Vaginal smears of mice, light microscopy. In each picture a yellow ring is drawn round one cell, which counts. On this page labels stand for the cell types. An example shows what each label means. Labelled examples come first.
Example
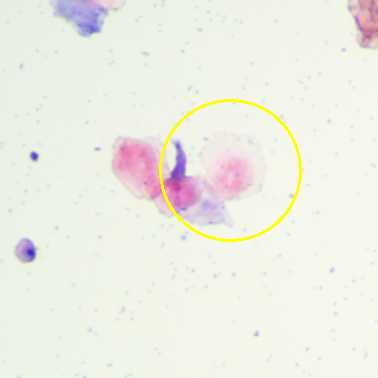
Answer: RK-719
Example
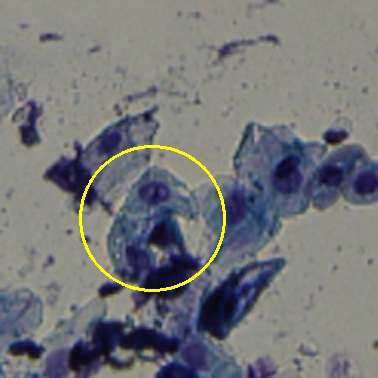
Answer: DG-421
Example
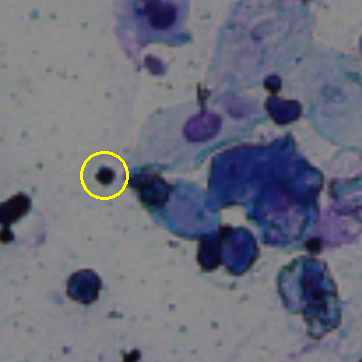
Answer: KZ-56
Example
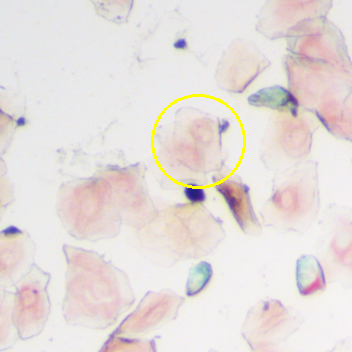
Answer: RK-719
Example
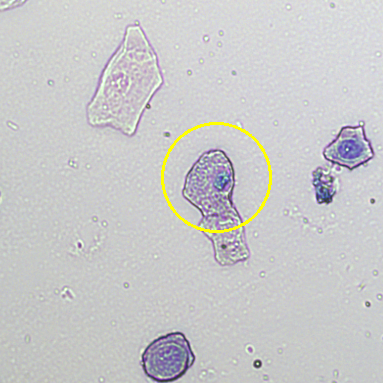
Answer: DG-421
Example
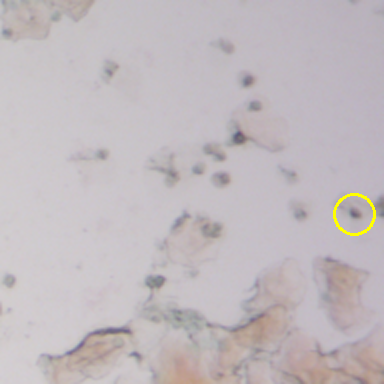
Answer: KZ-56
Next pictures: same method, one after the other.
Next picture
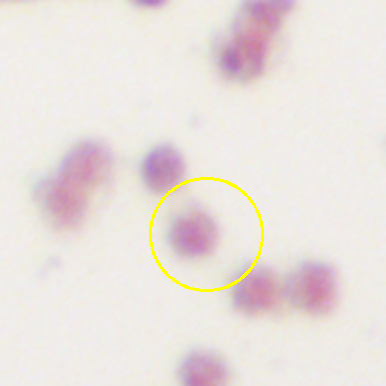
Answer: KZ-56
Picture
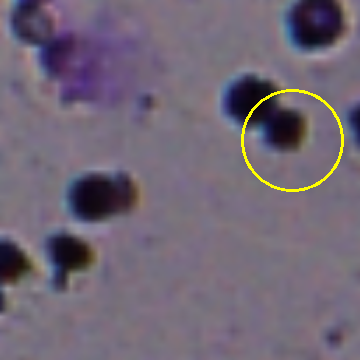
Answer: KZ-56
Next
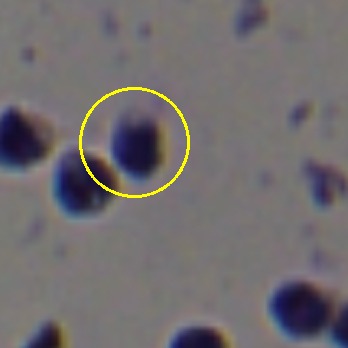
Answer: KZ-56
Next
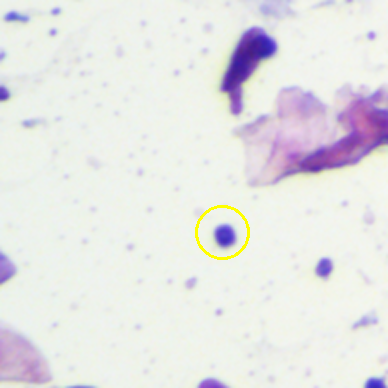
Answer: KZ-56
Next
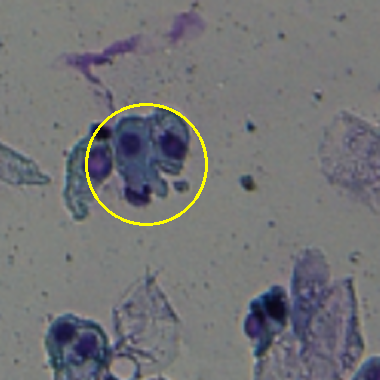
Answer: DG-421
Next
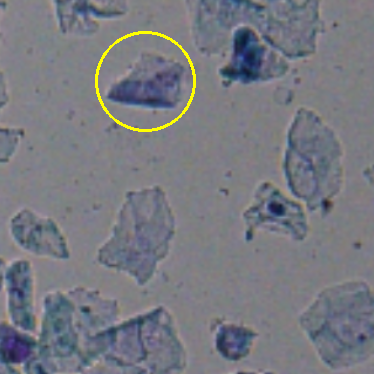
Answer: RK-719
